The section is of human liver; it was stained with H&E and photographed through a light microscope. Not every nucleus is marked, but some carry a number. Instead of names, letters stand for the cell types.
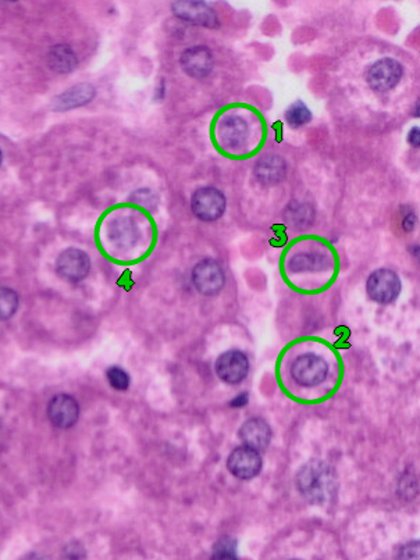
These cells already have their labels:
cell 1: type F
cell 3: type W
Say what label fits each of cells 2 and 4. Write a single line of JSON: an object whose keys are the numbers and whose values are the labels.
{"2": "type F", "4": "type F"}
